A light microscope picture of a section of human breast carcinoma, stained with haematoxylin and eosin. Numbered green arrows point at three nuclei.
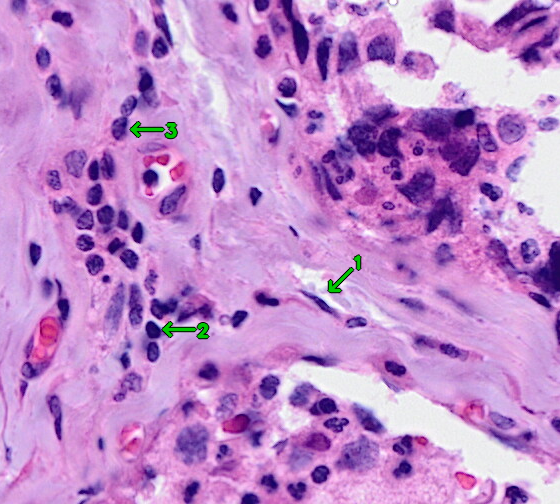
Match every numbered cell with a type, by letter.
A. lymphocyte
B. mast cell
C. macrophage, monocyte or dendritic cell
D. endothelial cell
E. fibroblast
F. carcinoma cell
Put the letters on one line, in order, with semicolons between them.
E; A; A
